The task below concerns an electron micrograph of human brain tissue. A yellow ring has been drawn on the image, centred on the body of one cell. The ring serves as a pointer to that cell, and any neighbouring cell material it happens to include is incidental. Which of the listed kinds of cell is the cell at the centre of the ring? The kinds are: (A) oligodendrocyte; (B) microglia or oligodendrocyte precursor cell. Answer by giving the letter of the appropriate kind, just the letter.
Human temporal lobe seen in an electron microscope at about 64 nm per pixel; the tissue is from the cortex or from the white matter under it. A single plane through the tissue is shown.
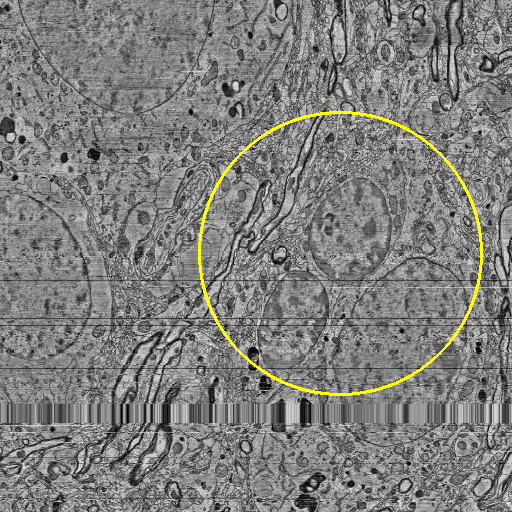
A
